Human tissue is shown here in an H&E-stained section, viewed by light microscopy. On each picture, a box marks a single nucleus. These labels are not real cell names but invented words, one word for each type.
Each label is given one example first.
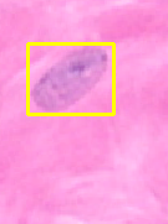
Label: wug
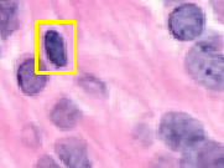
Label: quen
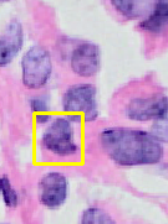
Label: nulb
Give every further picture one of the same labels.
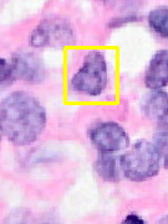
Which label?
nulb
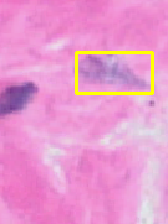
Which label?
wug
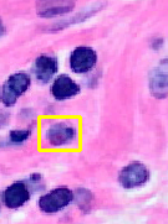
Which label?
quen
